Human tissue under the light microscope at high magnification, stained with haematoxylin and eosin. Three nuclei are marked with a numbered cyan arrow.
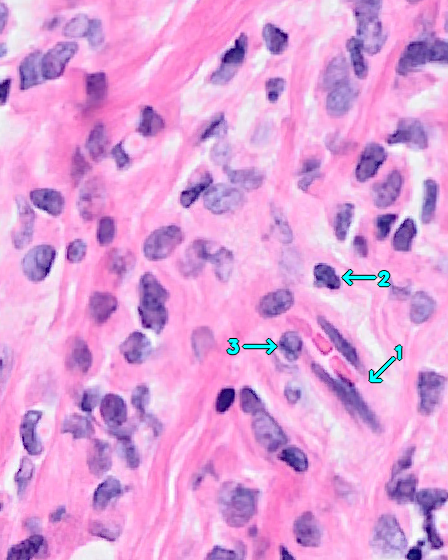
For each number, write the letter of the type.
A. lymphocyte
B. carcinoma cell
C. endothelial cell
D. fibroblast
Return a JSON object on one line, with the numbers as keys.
{"1": "C", "2": "A", "3": "C"}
